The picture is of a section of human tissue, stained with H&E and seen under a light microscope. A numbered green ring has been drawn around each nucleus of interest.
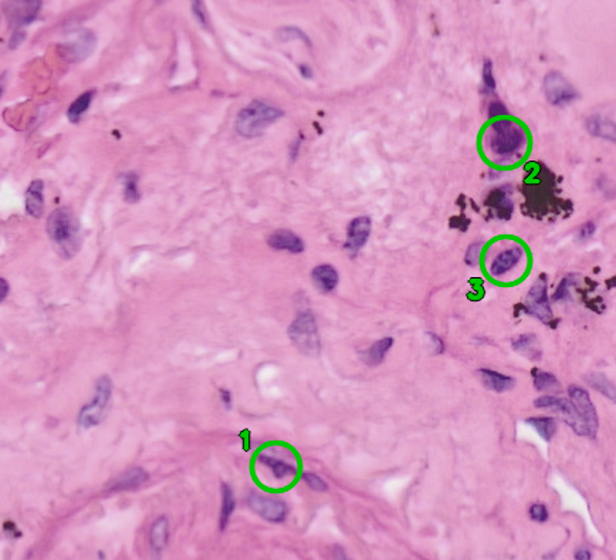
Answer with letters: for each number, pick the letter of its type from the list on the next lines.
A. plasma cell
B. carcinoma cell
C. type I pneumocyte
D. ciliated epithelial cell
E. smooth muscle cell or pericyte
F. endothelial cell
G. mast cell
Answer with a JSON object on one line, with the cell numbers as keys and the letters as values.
{"1": "E", "2": "A", "3": "G"}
